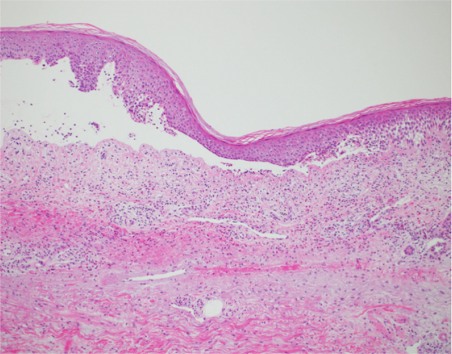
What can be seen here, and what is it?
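This is skin in which the epidermis is separated from the underlying dermis by a cleft just beneath it. The epidermis is a stratified layer of purple-staining cells with a thin pink surface layer, and on the left it is lifted off to leave an open space containing a few loose cells. Below, the dermis is pink connective tissue with scattered purple nuclei, denser in its upper part, and a few small vessels deeper down.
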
